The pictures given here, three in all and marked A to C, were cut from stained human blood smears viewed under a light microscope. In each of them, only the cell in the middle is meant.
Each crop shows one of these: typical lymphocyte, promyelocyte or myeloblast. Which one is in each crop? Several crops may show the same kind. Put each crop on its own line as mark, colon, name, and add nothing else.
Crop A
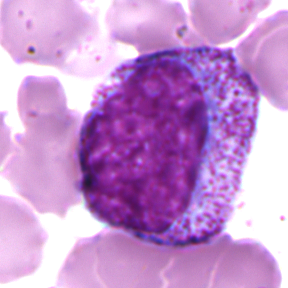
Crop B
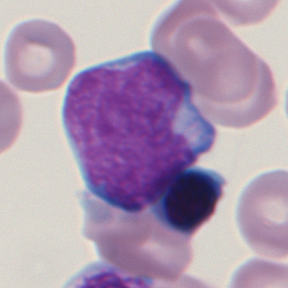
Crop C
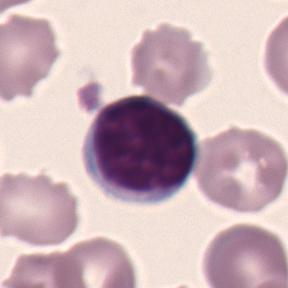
A: promyelocyte
B: myeloblast
C: typical lymphocyte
